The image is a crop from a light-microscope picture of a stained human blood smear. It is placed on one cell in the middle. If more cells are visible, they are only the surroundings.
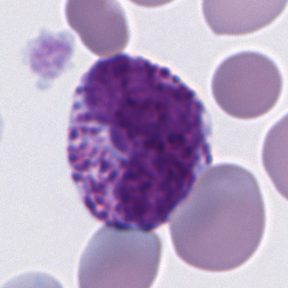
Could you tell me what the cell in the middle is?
basophil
